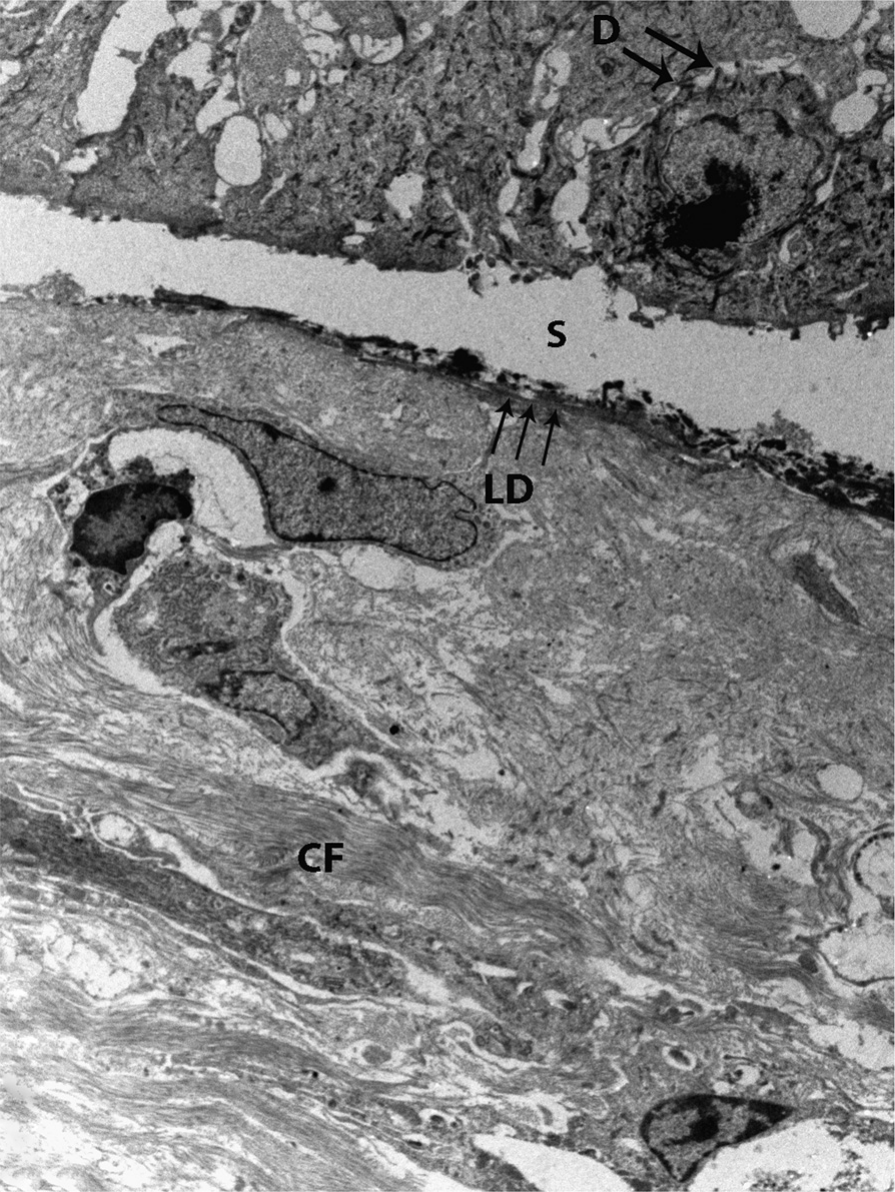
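This electron micrograph of skin shows a wide, pale, empty split with epidermal keratinocytes forming its roof and the dermis forming its floor. The keratinocytes above the split have dense, filamentous cytoplasm with scattered pale vacuoles, and one shows a large nucleus with a prominent dark nucleolus. Small dense junctions between neighbouring keratinocytes, marked by arrows near the top right, are desmosomes. Along the floor of the split runs a thin, dark, irregular band, the lamina densa, with no attachment structures joining it to the cells above. Beneath it the superficial dermis contains spindle-shaped cells with elongated nuclei and bundles of fine, parallel collagen fibers.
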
